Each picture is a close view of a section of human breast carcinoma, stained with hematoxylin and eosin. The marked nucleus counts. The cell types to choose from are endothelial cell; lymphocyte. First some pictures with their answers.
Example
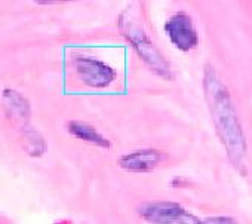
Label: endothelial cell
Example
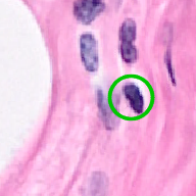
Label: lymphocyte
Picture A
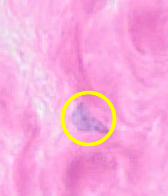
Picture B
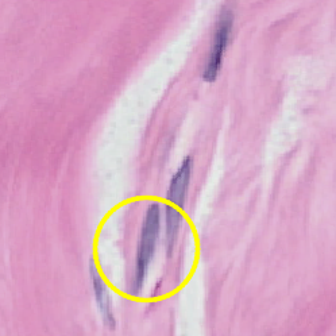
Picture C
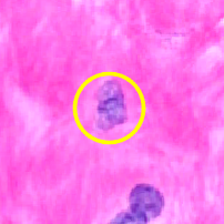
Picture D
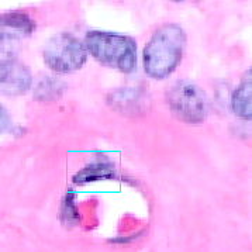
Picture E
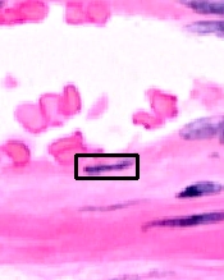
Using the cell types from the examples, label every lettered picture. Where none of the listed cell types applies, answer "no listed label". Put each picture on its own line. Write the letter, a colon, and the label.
A: no listed label
B: endothelial cell
C: no listed label
D: endothelial cell
E: endothelial cell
